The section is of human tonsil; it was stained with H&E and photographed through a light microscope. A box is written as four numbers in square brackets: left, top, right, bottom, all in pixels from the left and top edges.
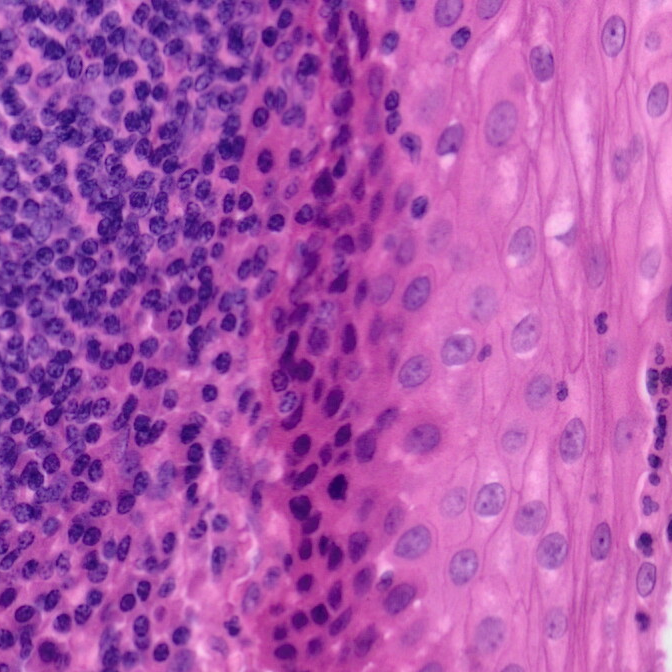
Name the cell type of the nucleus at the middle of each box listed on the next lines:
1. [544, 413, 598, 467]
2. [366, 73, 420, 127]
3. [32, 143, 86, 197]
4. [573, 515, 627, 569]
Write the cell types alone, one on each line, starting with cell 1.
squamous epithelial cell
squamous epithelial cell
small lymphocyte
squamous epithelial cell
